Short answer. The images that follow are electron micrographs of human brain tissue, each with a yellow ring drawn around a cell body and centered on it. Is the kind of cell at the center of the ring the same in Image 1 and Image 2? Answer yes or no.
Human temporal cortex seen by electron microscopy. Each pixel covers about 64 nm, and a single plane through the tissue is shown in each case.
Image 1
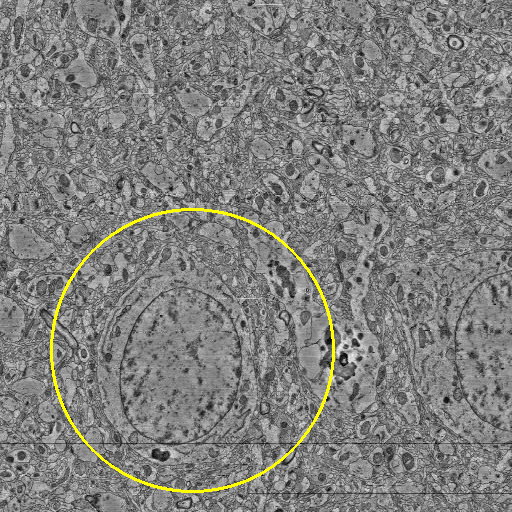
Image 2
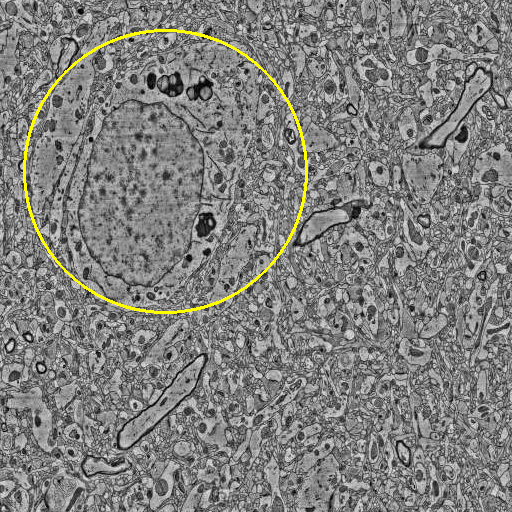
yes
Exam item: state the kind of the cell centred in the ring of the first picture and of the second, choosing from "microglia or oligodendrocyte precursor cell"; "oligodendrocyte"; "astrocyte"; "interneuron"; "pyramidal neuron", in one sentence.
Each of the ringed cells, first and second, is a pyramidal neuron.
